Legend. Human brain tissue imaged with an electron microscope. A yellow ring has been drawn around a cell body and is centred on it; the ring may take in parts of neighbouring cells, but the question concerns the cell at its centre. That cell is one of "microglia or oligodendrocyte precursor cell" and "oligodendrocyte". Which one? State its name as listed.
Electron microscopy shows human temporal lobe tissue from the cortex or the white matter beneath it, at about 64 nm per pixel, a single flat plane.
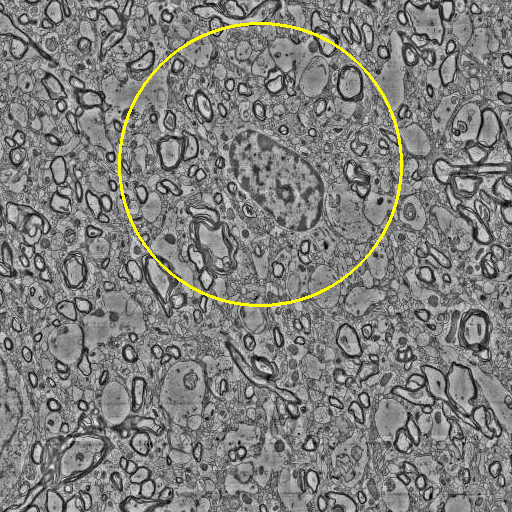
microglia or oligodendrocyte precursor cell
